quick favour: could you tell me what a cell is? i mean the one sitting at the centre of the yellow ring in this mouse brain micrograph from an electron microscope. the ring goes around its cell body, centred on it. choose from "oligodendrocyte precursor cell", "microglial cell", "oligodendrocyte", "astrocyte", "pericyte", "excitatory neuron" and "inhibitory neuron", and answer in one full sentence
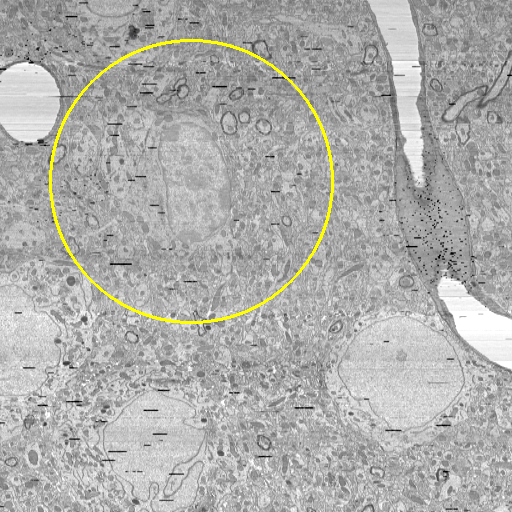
That's an oligodendrocyte, the cell sitting at the centre of the yellow ring.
